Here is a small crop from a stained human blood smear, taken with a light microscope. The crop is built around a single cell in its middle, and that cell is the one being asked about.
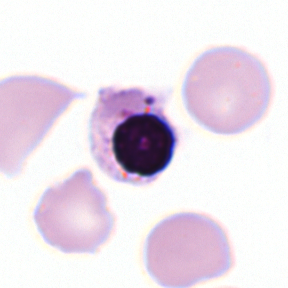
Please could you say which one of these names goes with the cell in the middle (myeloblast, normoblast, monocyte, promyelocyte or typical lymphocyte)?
normoblast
